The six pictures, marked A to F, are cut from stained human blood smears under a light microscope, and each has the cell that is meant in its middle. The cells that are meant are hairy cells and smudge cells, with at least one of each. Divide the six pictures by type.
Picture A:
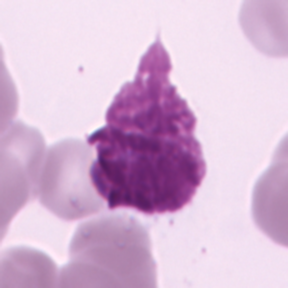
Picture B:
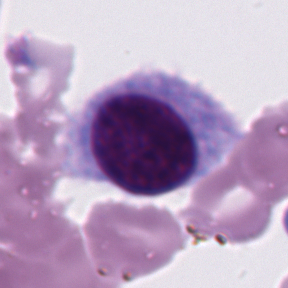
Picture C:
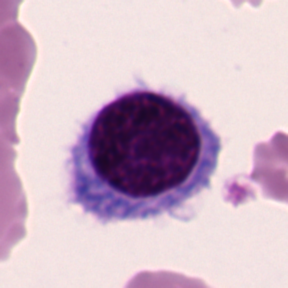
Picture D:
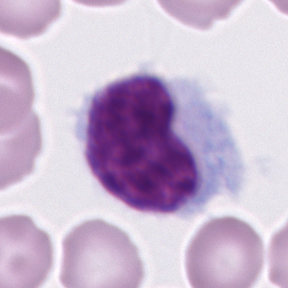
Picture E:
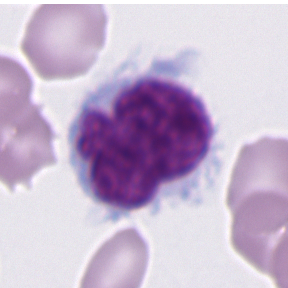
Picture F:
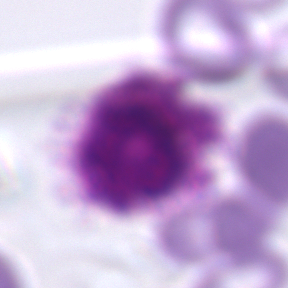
A: smudge cell
B: hairy cell
C: hairy cell
D: hairy cell
E: hairy cell
F: smudge cell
